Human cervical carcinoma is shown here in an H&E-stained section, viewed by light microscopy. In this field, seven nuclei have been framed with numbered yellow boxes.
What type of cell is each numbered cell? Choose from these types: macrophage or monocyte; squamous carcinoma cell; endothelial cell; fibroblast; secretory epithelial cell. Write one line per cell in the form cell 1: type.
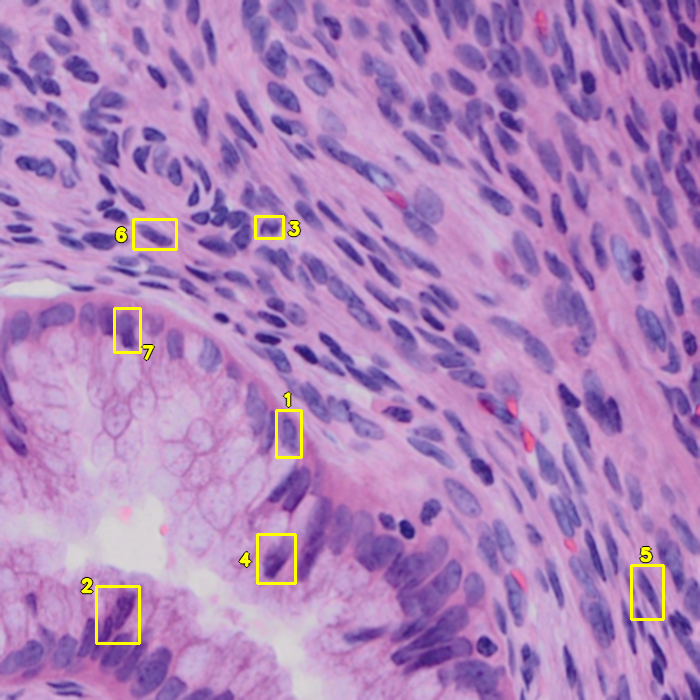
cell 1: secretory epithelial cell
cell 2: secretory epithelial cell
cell 3: fibroblast
cell 4: secretory epithelial cell
cell 5: fibroblast
cell 6: fibroblast
cell 7: secretory epithelial cell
